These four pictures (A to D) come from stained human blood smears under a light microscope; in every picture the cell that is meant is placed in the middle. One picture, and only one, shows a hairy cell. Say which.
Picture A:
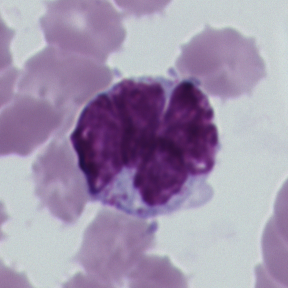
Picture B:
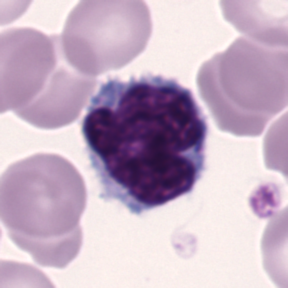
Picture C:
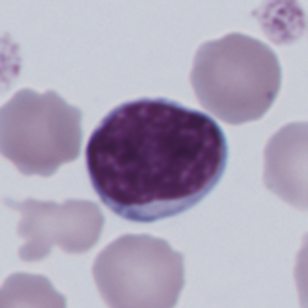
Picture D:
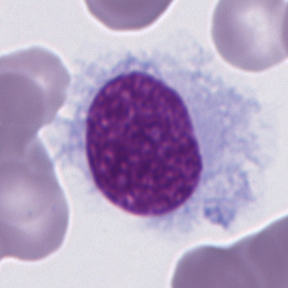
D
